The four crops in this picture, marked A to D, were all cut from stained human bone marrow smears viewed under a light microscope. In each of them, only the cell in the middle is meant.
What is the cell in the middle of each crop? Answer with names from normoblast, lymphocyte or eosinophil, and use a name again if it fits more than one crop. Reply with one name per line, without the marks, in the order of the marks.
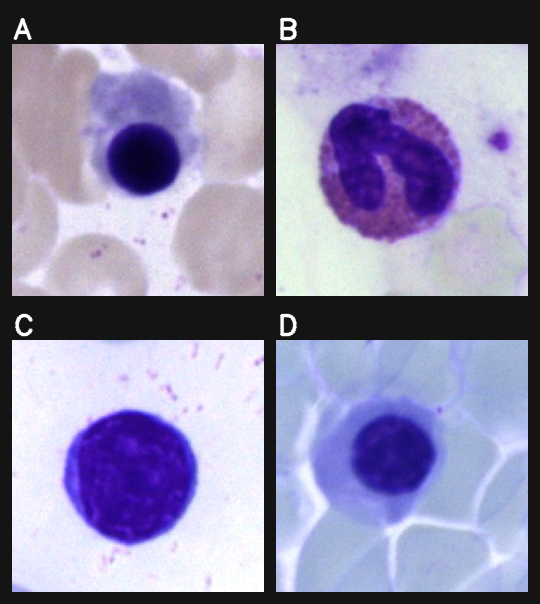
normoblast
eosinophil
lymphocyte
normoblast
